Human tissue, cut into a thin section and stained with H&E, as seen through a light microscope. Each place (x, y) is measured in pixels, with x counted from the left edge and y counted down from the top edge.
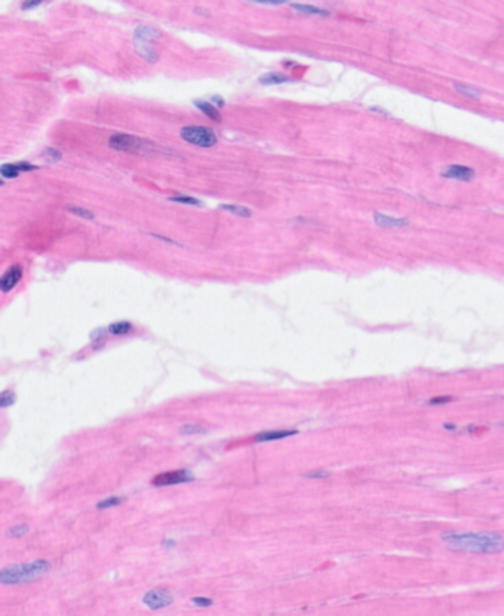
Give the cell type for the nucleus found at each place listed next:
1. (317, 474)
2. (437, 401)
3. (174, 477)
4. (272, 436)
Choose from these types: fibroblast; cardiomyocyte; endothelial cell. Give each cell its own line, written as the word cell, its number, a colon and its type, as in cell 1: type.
cell 1: cardiomyocyte
cell 2: endothelial cell
cell 3: endothelial cell
cell 4: endothelial cell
